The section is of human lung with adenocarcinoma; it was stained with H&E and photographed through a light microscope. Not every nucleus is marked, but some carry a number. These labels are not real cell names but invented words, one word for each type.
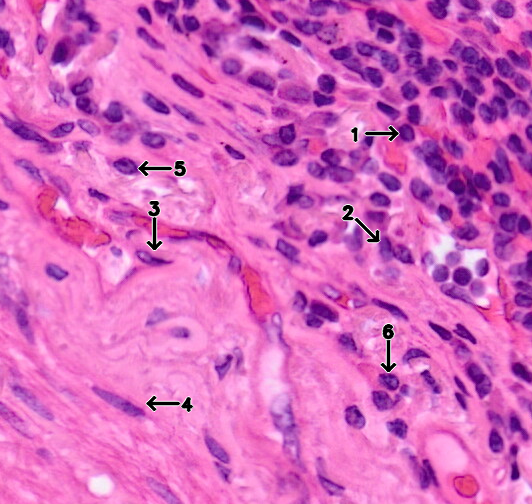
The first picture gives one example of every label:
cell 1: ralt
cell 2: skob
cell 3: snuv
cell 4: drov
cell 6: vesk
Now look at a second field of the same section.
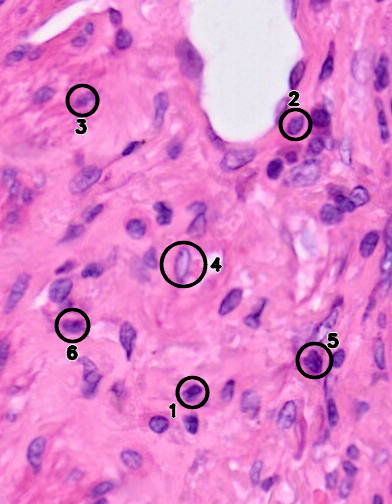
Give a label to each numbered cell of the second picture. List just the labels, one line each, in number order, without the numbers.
ralt
vesk
drov
snuv
skob
skob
